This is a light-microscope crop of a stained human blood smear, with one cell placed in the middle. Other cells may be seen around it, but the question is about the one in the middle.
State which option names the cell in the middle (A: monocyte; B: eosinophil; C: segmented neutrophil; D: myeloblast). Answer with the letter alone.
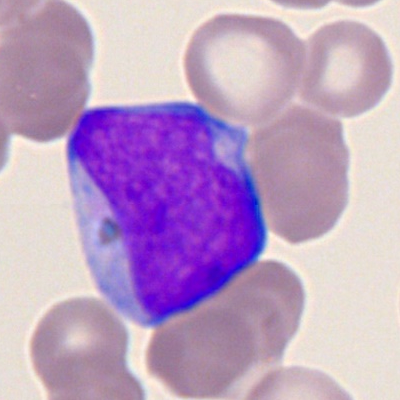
D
